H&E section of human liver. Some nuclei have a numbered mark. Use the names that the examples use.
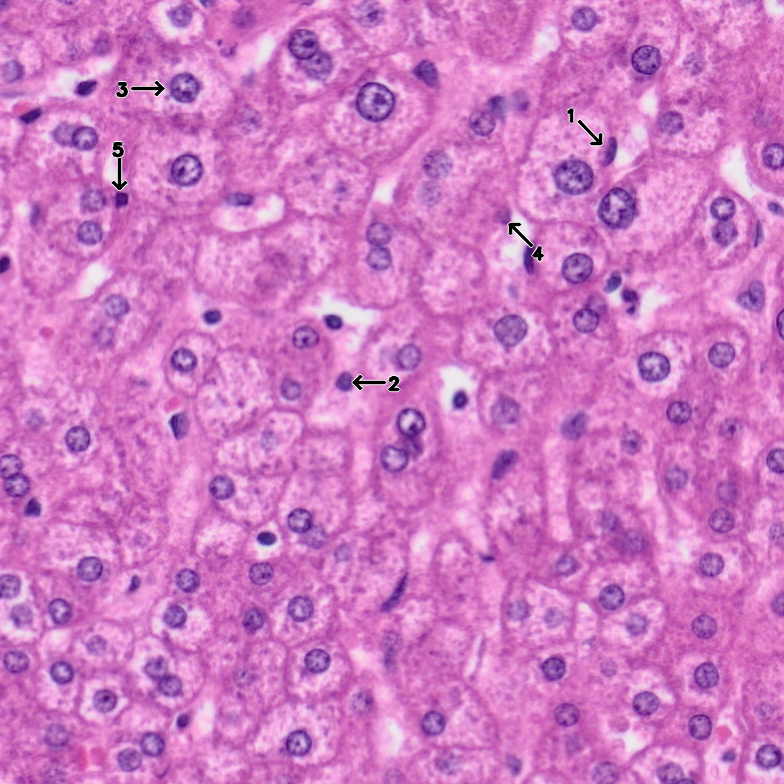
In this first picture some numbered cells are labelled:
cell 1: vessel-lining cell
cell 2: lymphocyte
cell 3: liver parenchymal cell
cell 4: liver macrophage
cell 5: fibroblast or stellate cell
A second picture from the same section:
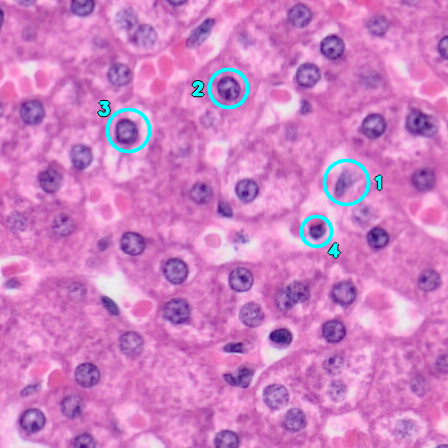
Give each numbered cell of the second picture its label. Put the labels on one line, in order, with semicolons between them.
liver macrophage; liver parenchymal cell; liver parenchymal cell; lymphocyte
